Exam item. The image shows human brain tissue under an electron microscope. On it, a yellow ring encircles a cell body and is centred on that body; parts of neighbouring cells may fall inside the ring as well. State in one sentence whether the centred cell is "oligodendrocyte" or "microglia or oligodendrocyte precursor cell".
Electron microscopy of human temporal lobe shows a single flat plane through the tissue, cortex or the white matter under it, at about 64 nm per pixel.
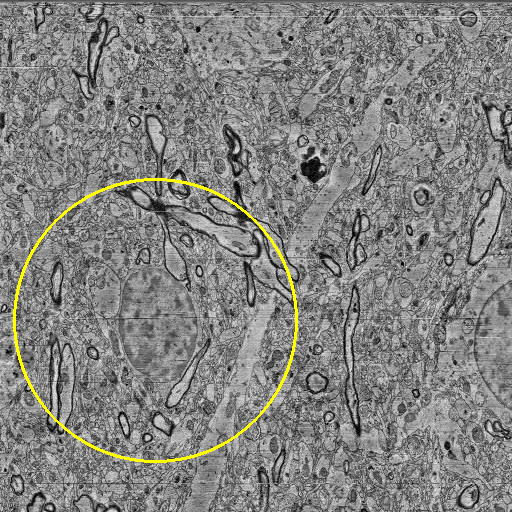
The cell body centred in the ring is an oligodendrocyte.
